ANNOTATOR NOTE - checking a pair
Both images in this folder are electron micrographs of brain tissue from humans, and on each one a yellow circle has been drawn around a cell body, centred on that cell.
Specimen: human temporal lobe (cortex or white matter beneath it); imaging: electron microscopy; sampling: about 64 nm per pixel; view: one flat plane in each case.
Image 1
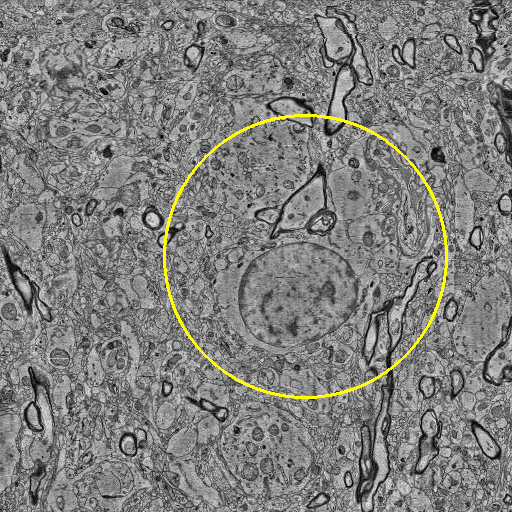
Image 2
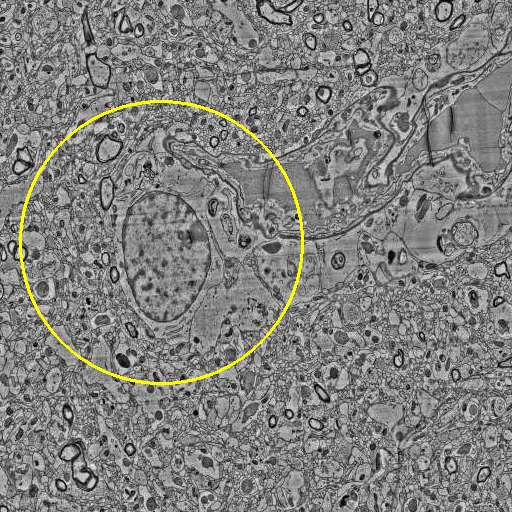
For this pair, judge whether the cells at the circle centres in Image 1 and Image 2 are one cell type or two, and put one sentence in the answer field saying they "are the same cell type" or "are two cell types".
For this pair, the cells at the circle centres in Images 1 and 2 are the same cell type.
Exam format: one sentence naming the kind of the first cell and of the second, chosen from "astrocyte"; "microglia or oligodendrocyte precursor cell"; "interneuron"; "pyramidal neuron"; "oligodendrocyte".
Both the first and the second picture show a microglial cell or oligodendrocyte precursor cell in the ring.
